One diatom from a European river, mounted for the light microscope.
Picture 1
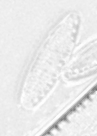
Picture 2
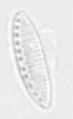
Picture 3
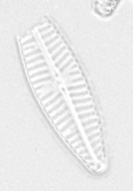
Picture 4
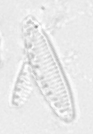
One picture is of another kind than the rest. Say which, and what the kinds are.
Picture 3 shows Navicula; the rest show Nitzschia.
